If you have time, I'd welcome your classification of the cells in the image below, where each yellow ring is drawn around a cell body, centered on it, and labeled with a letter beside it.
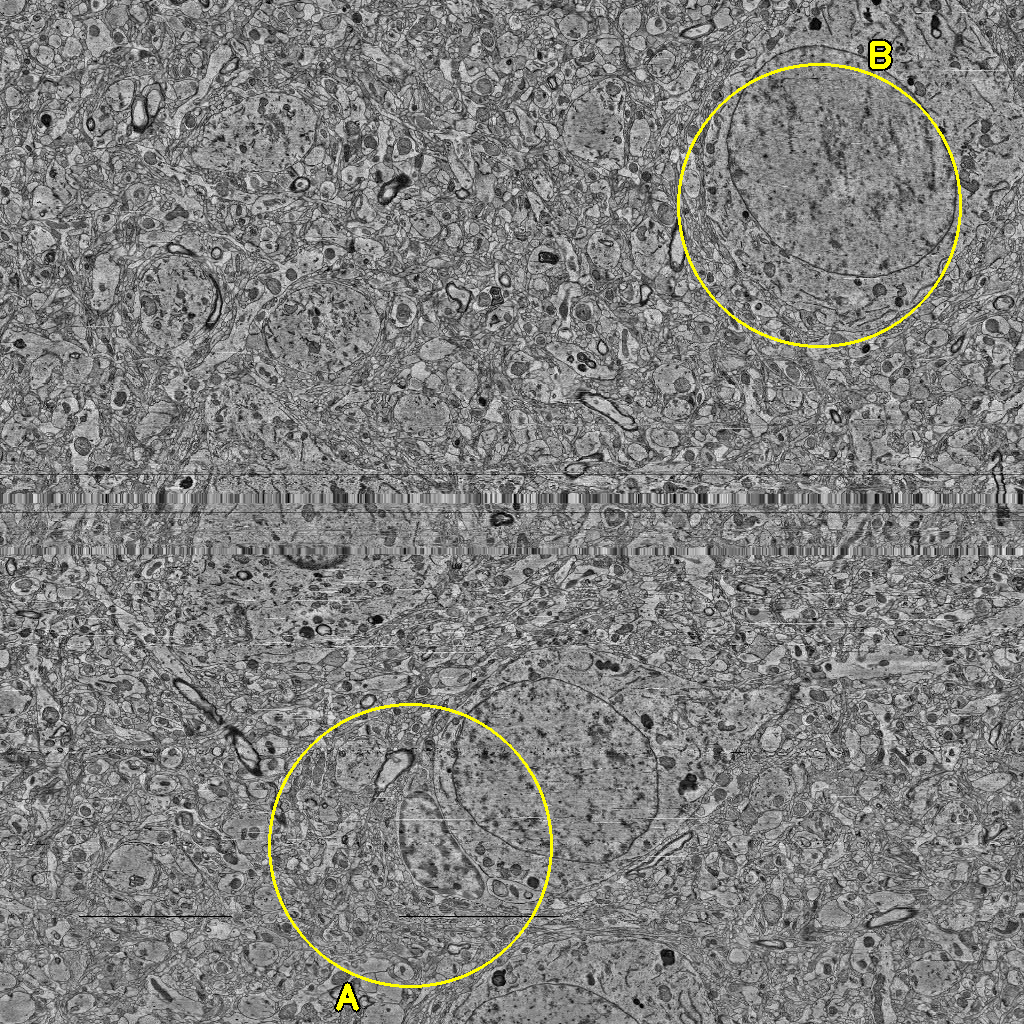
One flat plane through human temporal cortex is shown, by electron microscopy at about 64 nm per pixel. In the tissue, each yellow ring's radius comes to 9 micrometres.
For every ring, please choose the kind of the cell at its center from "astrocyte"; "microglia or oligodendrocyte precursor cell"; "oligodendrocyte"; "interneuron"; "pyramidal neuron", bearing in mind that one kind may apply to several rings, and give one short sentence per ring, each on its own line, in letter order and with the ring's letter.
At the center of ring A is a microglial cell or oligodendrocyte precursor cell.
At the center of ring B is a pyramidal neuron.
